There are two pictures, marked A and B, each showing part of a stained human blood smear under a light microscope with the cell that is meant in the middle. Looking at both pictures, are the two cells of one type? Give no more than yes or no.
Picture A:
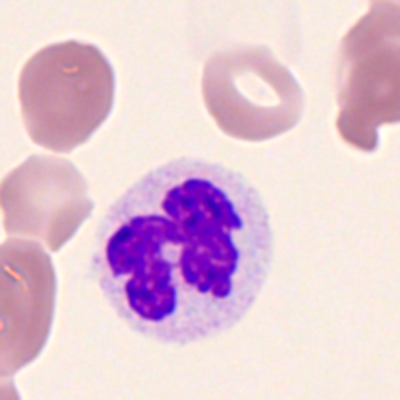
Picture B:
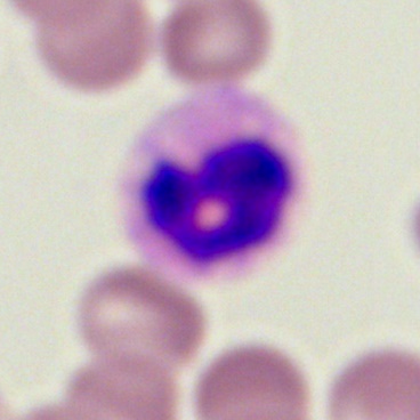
yes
